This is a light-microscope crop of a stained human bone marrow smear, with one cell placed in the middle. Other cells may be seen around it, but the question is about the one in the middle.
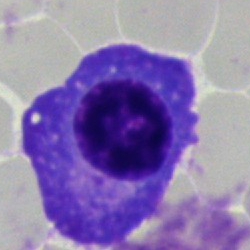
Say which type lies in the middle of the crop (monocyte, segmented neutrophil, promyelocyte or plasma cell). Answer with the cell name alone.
plasma cell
